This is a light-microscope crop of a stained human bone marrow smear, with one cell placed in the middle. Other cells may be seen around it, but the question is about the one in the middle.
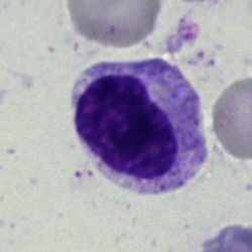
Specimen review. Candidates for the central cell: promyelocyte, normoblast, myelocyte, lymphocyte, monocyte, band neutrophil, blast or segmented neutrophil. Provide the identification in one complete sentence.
Here the cell in the middle is a myelocyte.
